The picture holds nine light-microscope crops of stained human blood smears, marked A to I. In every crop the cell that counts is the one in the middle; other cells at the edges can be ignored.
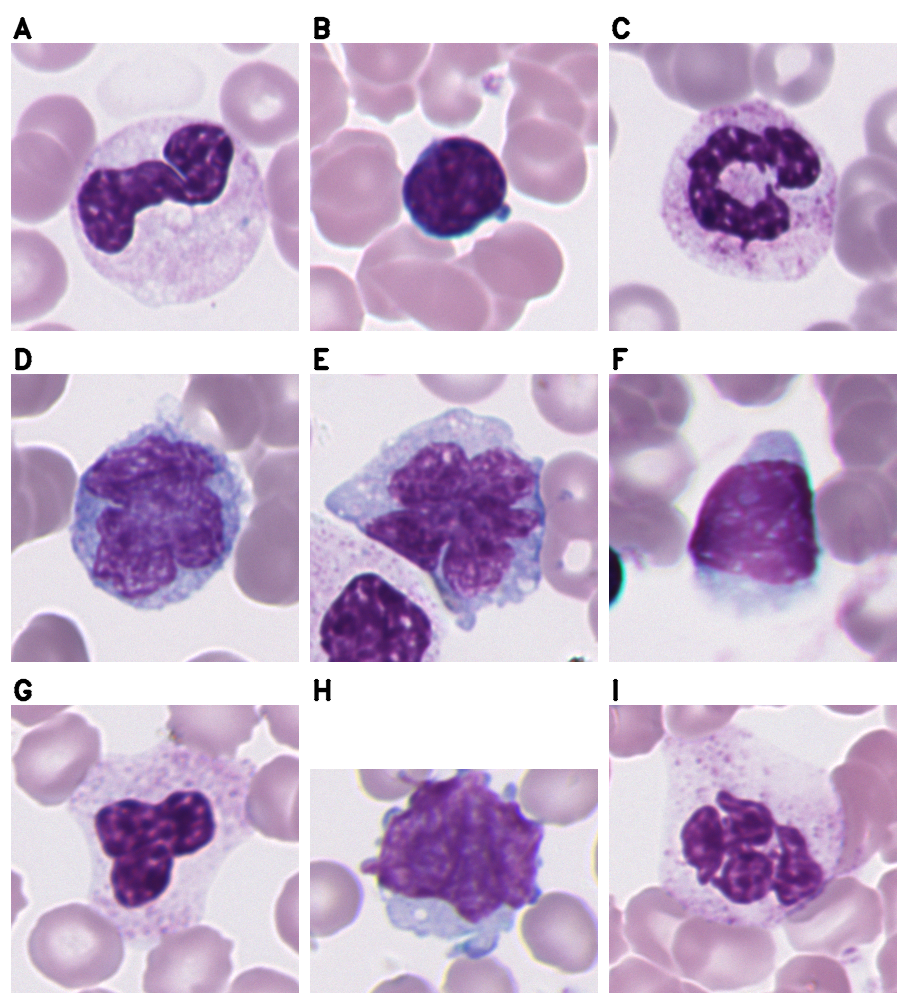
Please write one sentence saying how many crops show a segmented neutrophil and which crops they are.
It comes to four crops with segmented neutrophils: A, C, G and I.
